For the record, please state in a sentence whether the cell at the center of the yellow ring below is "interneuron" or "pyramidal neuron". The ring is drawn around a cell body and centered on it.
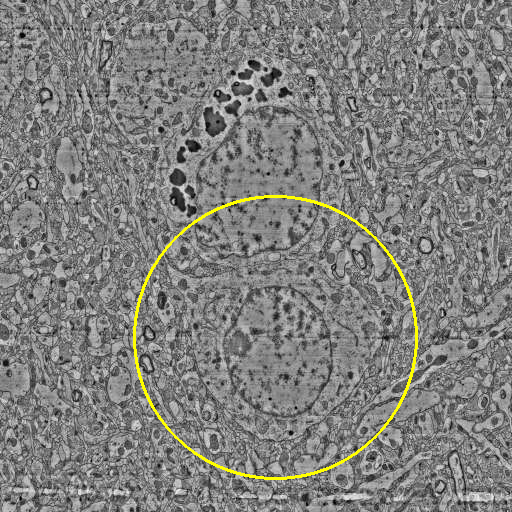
The cell at the ring's center is a pyramidal neuron.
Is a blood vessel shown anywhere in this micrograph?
No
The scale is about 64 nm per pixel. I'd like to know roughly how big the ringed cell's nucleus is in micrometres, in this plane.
Approximately 8 micrometres across, in this plane.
